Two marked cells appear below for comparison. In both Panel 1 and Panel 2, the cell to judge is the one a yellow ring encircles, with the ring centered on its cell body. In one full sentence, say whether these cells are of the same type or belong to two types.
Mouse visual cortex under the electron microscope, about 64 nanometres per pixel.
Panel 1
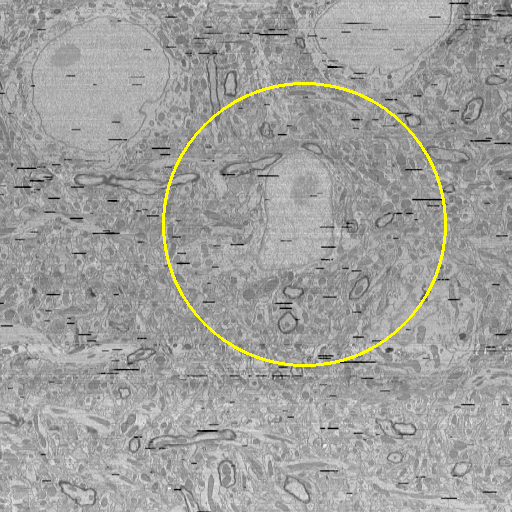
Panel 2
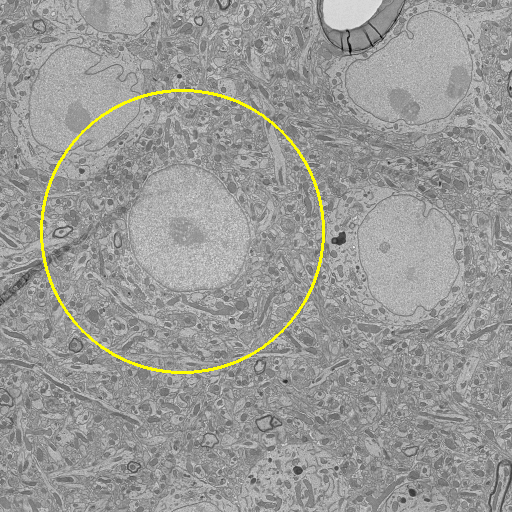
The cell centered in the Panel 1 ring and the one in Panel 2 are of the same type.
